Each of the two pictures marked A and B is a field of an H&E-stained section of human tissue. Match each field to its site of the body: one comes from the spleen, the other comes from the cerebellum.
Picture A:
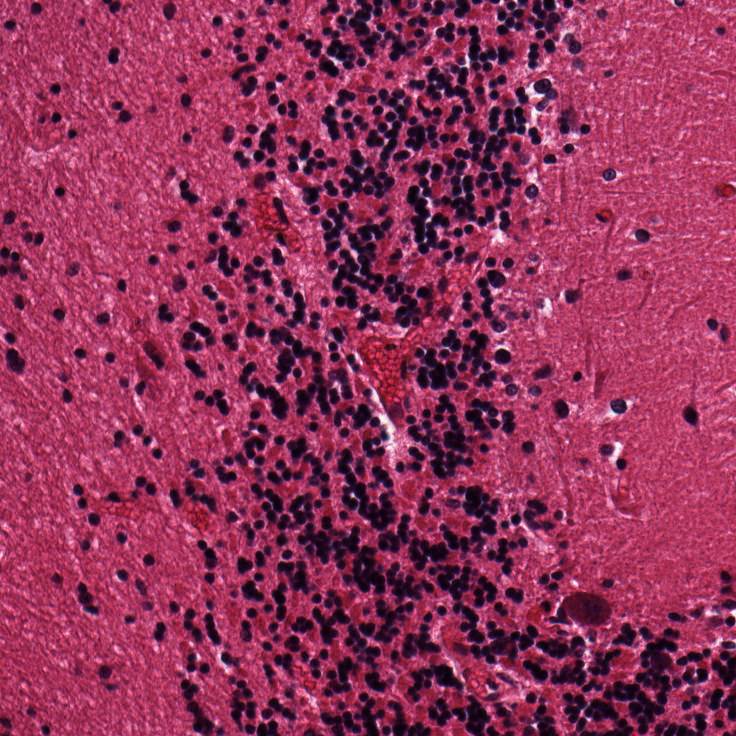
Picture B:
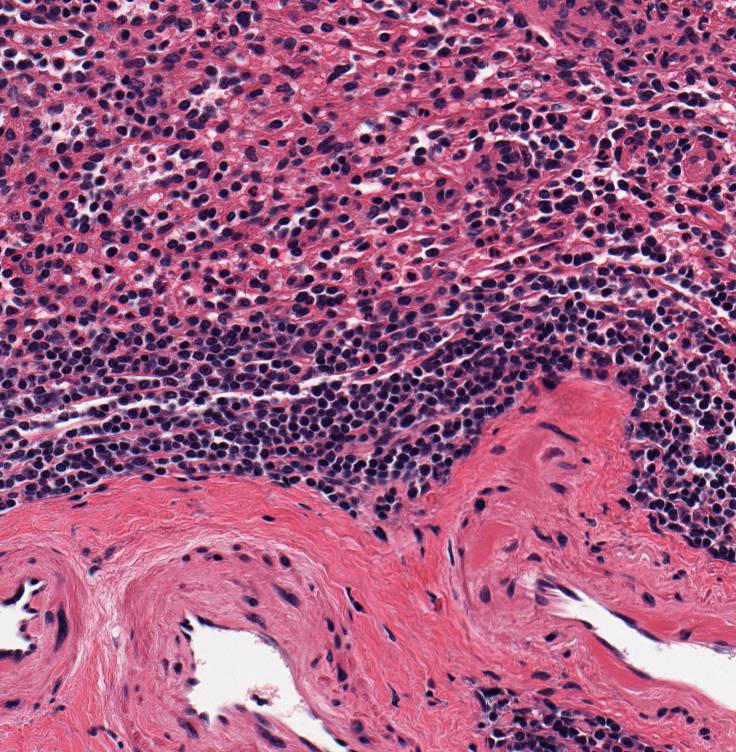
A: cerebellum
B: spleen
